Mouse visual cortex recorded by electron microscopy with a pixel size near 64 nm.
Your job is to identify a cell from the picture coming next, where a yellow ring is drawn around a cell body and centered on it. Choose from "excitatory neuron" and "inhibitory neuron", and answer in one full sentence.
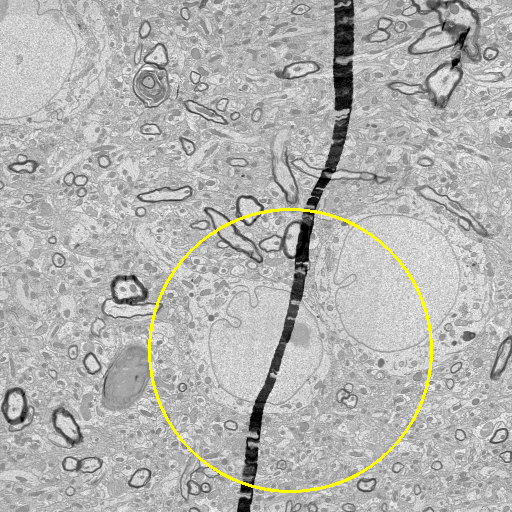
Centered in the yellow ring of the picture is the body of an excitatory neuron.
